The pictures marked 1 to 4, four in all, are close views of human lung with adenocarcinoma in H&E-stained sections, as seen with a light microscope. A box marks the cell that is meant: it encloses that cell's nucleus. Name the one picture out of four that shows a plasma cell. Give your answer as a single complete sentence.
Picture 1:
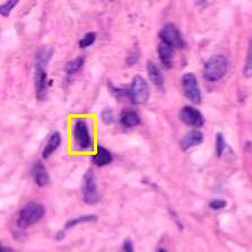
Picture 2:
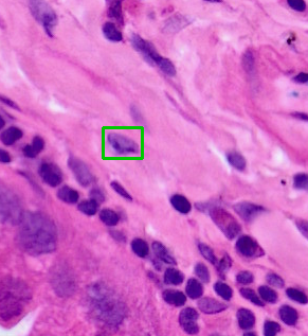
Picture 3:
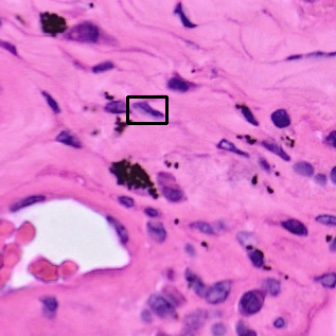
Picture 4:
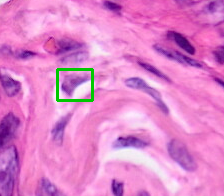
Picture 1 is the one that shows the plasma cell.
